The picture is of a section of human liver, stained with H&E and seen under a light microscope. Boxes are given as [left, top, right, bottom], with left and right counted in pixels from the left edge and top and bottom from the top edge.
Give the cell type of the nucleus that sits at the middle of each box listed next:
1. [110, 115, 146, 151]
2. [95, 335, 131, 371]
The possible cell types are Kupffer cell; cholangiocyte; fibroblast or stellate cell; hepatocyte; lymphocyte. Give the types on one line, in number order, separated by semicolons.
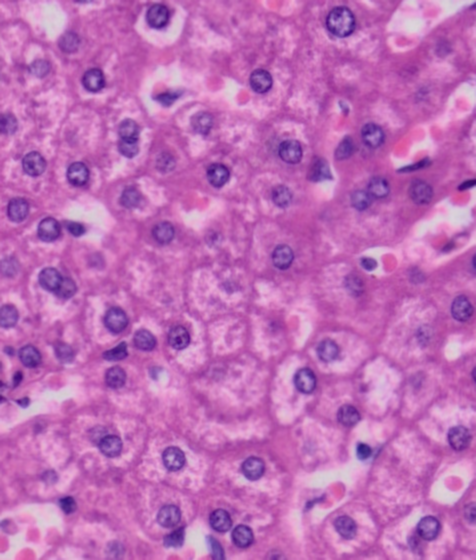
hepatocyte; fibroblast or stellate cell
